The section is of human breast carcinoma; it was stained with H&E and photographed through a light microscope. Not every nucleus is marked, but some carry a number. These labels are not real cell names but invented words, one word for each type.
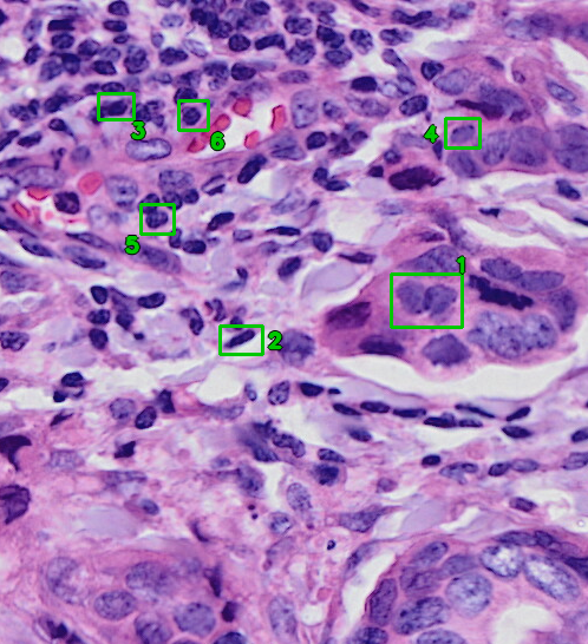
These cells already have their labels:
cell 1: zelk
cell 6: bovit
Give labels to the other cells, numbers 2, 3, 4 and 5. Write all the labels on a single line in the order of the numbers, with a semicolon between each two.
bovit; bovit; zelk; bovit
